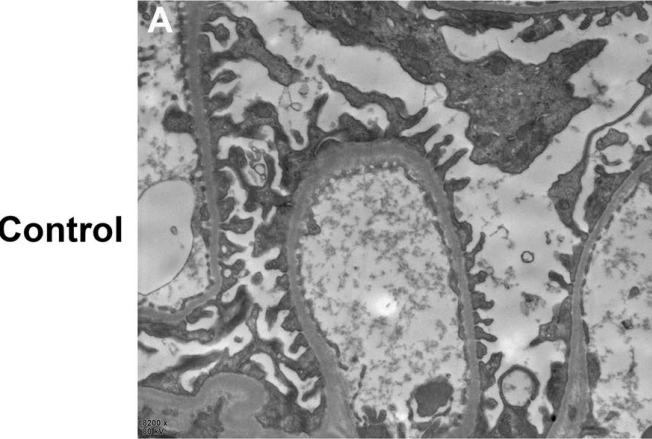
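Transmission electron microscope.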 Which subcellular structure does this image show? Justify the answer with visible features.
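Many small, regularly spaced cytoplasmic projections sit along the outer side of the curved grey basement membranes. The projections are separated by narrow gaps along the membrane.
Podocyte foot processes.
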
